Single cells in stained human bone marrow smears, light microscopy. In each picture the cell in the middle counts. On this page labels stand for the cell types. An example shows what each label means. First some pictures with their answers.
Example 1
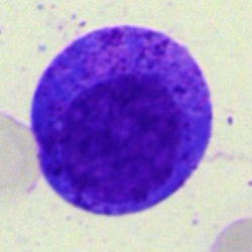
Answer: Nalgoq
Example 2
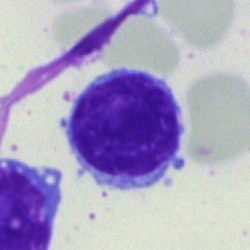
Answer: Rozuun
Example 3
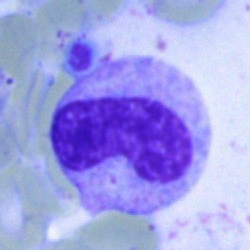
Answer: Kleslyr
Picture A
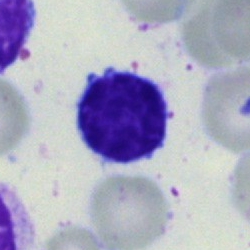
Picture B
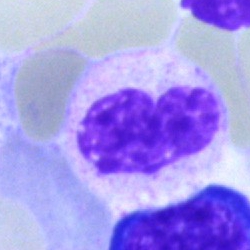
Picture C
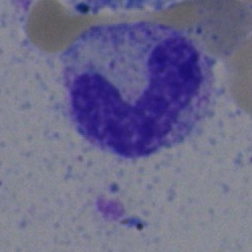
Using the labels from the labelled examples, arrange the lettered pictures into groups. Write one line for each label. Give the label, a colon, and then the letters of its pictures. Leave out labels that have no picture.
Rozuun: A
Kleslyr: B, C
